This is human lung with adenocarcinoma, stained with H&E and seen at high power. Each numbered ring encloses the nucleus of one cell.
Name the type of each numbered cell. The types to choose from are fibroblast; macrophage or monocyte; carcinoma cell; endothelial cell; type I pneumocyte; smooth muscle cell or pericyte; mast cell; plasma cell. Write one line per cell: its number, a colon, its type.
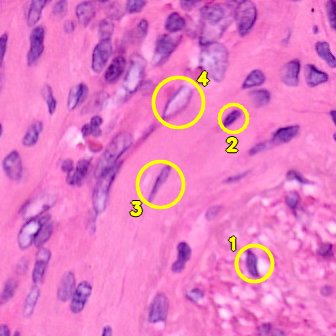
1: smooth muscle cell or pericyte
2: mast cell
3: fibroblast
4: endothelial cell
